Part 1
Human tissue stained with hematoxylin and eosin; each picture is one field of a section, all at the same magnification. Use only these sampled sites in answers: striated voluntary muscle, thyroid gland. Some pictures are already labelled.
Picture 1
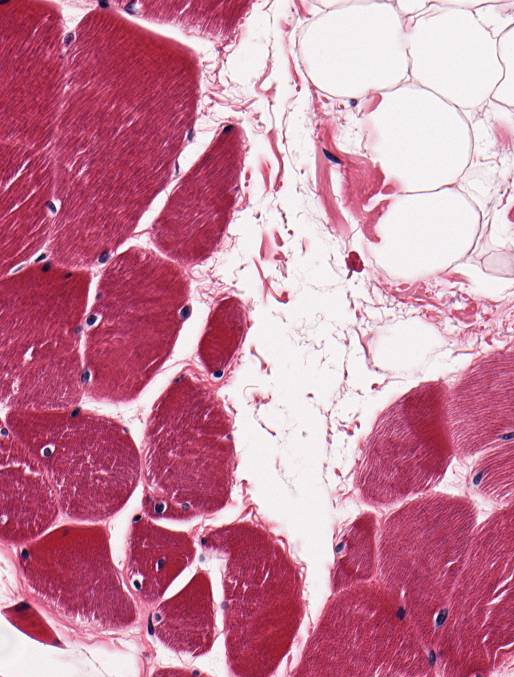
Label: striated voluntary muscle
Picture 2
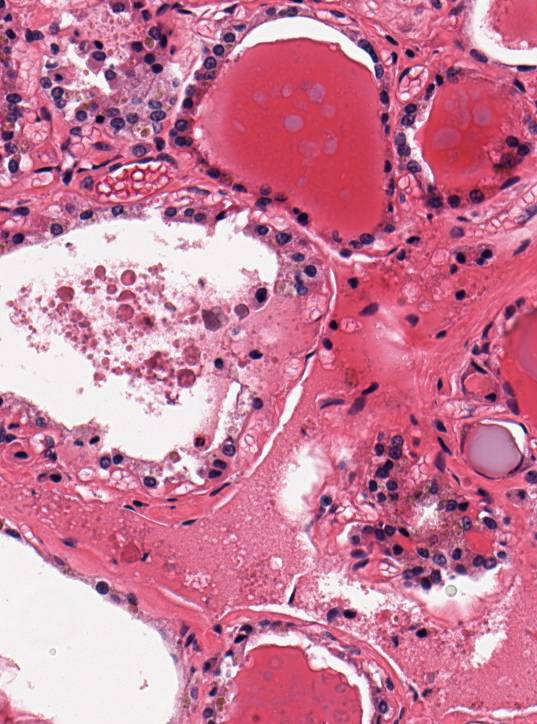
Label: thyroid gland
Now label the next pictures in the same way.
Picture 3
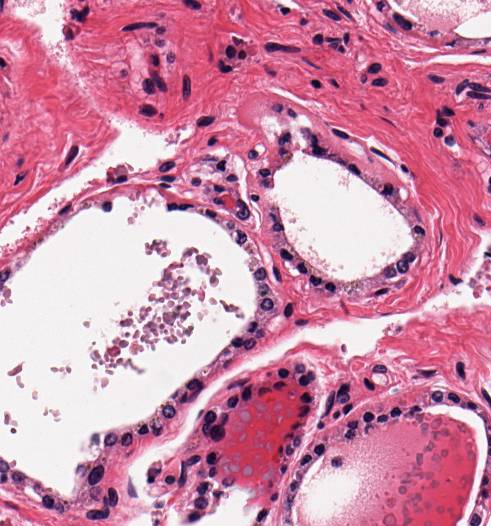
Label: thyroid gland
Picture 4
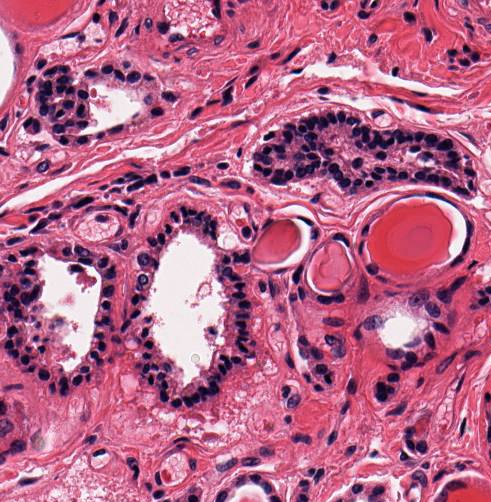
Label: thyroid gland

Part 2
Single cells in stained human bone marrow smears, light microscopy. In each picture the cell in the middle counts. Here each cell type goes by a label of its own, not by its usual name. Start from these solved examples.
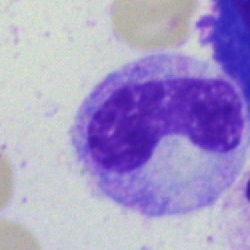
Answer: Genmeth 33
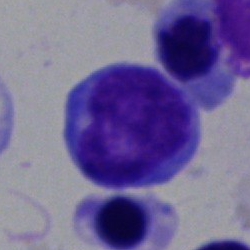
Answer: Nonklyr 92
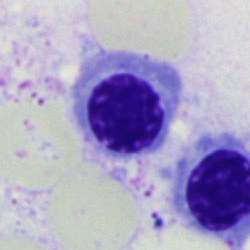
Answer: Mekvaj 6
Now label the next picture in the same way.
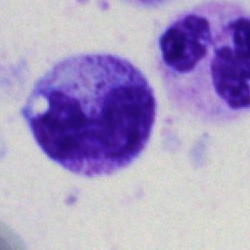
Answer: Genmeth 33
